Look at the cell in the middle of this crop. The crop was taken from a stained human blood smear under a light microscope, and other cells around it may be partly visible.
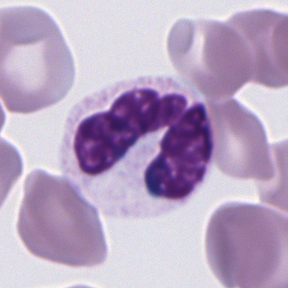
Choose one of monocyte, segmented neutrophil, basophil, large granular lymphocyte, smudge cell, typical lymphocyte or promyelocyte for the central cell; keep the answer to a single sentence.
Where the crop is centred, there is a segmented neutrophil.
